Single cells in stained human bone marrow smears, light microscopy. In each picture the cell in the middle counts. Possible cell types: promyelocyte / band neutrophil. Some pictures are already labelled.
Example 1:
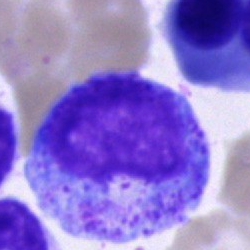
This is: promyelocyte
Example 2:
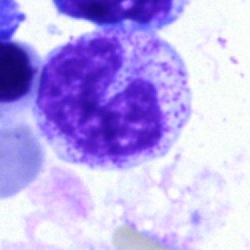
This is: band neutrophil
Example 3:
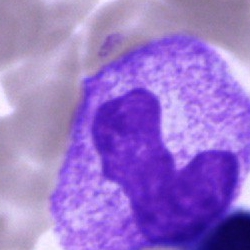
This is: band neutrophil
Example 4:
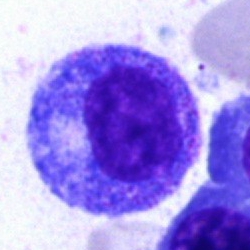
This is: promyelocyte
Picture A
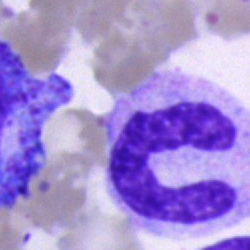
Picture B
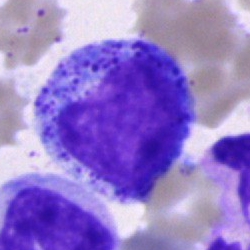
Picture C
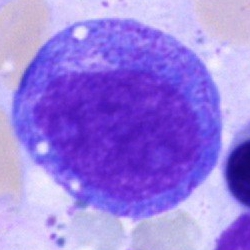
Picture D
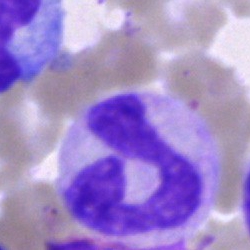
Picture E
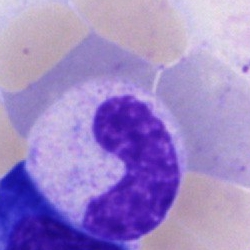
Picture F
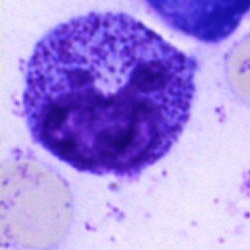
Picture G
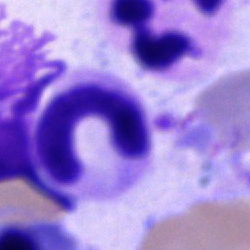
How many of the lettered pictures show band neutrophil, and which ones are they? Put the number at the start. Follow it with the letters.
4: A, D, E, G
